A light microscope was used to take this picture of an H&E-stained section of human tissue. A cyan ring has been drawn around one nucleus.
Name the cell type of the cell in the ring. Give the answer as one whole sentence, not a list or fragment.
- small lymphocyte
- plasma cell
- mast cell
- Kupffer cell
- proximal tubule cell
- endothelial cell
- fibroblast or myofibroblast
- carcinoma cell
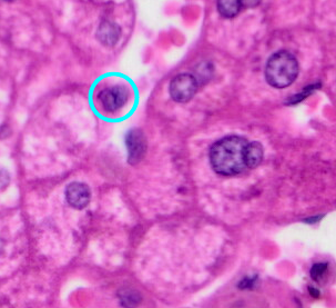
The cell type of the cell in the ring is that of a Kupffer cell.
